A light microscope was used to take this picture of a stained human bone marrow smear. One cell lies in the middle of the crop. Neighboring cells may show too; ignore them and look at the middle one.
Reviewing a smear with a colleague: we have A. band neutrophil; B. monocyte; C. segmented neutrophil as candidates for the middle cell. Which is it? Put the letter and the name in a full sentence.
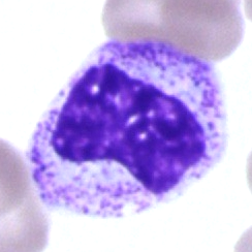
The correct option is A, as the central cell is a band neutrophil.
